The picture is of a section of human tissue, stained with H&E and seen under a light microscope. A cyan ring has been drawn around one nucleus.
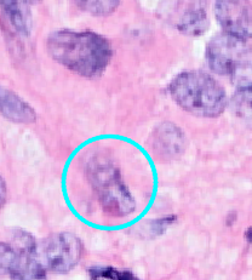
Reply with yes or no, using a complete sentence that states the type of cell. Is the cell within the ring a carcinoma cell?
No, the cell within the ring is to be identified as an endothelial cell, not a carcinoma cell.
